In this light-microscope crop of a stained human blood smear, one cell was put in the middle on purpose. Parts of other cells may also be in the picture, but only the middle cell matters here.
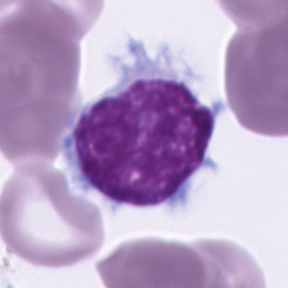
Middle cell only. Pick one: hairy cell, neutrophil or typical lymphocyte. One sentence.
Centrally within this crop lies a hairy cell.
